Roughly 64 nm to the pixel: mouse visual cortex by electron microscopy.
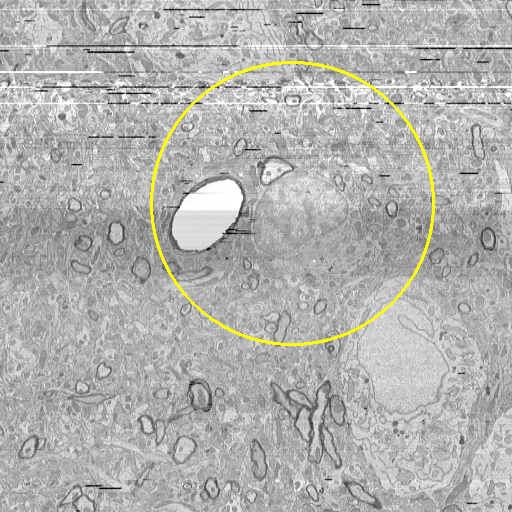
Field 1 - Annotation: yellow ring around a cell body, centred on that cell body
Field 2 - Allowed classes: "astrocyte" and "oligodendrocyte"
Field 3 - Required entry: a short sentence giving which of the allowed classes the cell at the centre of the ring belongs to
The centred cell is an oligodendrocyte.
